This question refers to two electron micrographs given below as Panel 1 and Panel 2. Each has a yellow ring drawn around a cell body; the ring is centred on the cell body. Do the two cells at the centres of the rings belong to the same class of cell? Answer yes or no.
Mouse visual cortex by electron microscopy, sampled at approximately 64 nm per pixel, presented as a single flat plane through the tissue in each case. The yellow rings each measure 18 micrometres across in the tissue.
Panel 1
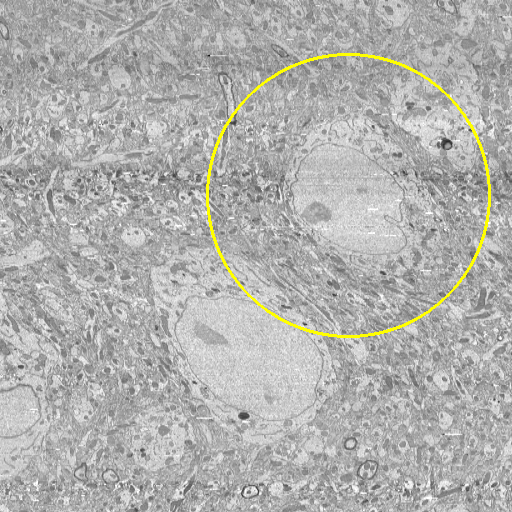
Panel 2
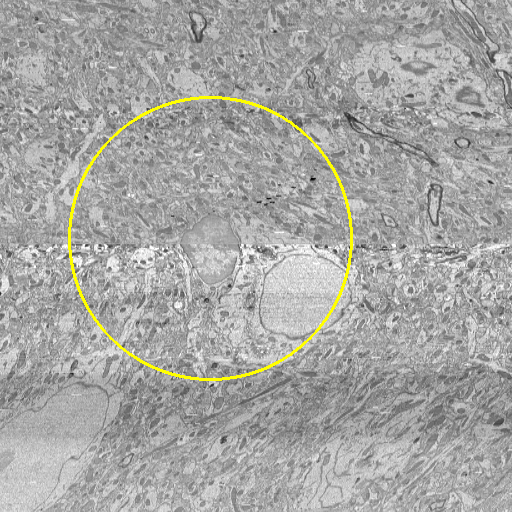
no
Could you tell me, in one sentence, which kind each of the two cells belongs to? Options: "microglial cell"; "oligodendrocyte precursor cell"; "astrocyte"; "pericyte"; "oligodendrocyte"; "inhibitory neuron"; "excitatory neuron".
At the centre of the first ring sits an excitatory neuron, and at the centre of the second sits a microglial cell.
